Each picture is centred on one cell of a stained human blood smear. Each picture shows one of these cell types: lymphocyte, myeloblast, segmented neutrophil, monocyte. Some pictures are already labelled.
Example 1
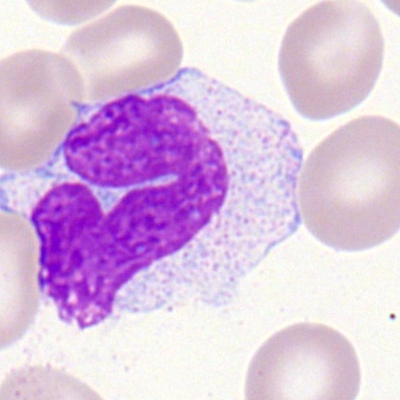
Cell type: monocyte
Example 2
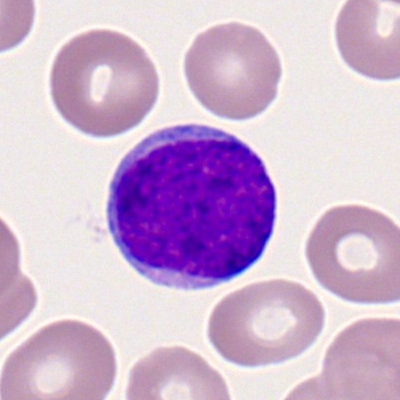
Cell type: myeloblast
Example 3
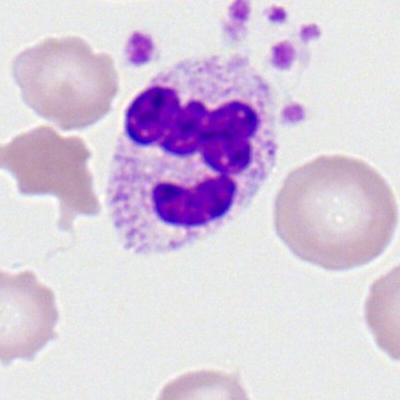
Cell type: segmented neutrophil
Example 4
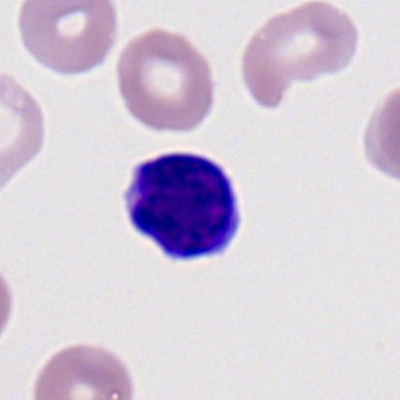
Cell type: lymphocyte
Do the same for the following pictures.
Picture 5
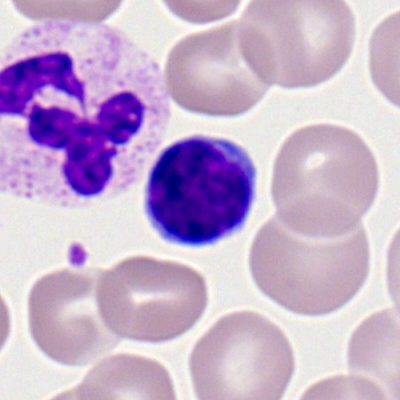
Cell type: lymphocyte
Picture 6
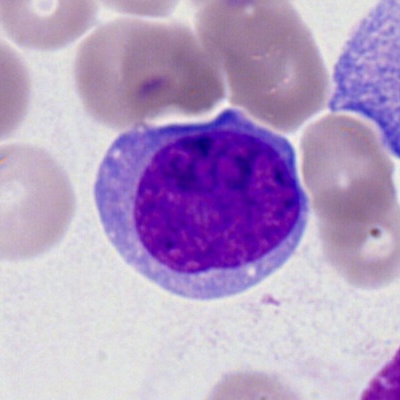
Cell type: myeloblast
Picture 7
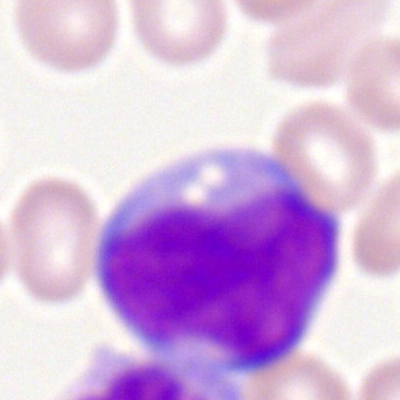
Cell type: myeloblast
